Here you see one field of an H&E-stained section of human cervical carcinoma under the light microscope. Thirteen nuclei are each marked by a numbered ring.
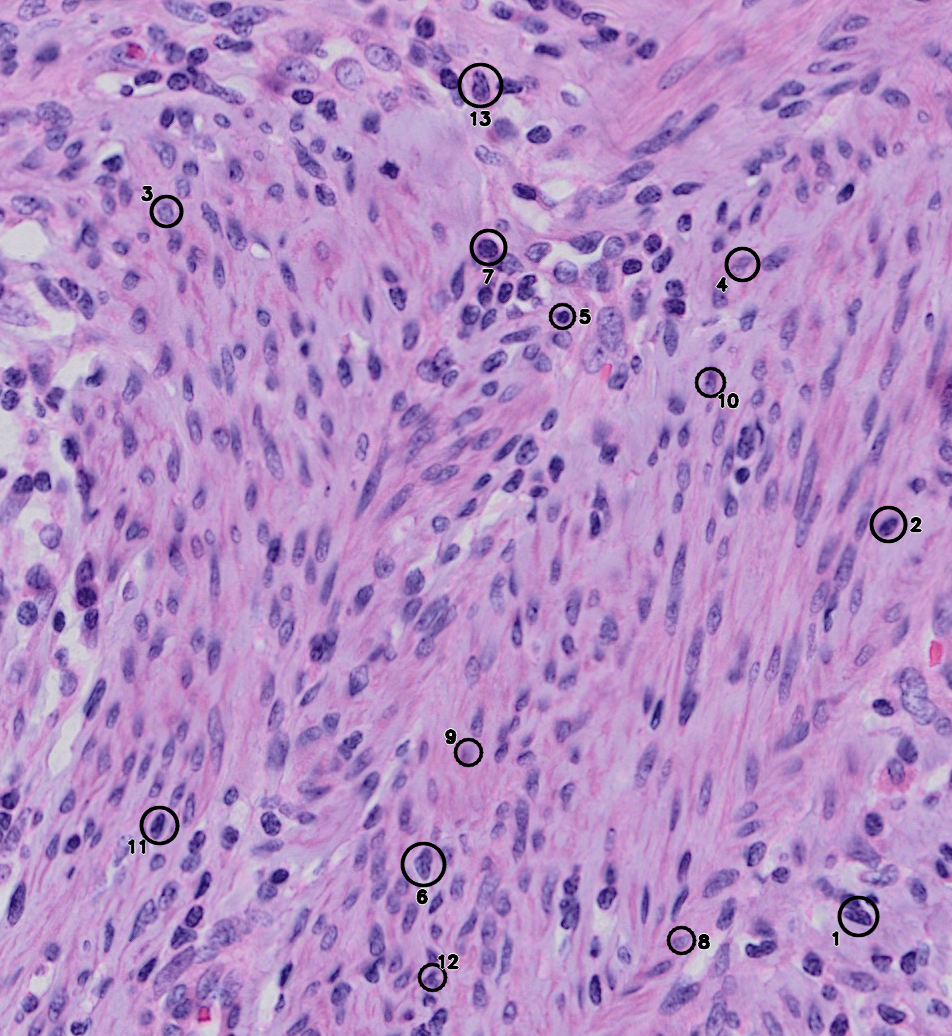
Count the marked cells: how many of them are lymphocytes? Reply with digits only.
7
